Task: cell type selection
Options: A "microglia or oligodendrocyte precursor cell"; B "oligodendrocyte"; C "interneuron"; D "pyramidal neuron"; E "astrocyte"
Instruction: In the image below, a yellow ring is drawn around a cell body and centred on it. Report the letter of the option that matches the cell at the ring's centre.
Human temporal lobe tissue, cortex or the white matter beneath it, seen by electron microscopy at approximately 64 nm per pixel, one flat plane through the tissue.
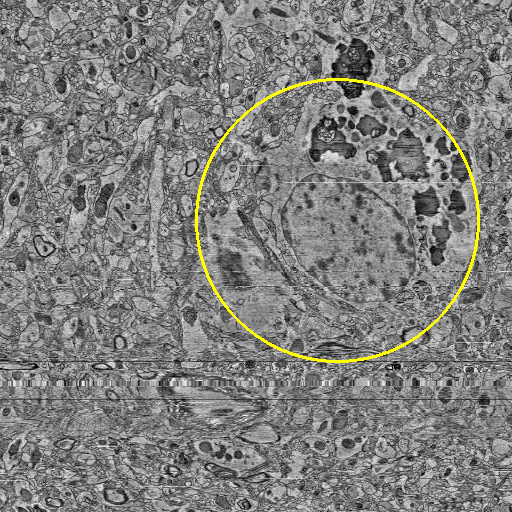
E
